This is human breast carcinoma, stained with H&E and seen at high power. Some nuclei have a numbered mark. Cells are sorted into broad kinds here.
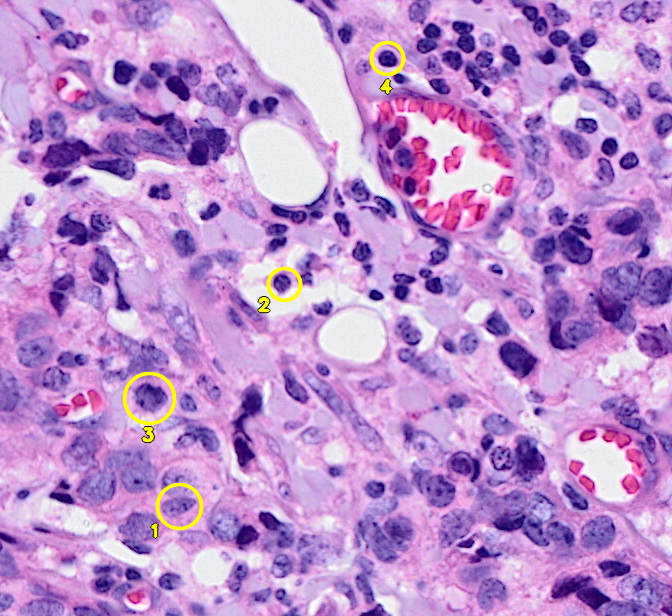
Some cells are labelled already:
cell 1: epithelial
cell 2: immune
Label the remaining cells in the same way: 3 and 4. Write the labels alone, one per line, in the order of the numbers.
epithelial
immune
